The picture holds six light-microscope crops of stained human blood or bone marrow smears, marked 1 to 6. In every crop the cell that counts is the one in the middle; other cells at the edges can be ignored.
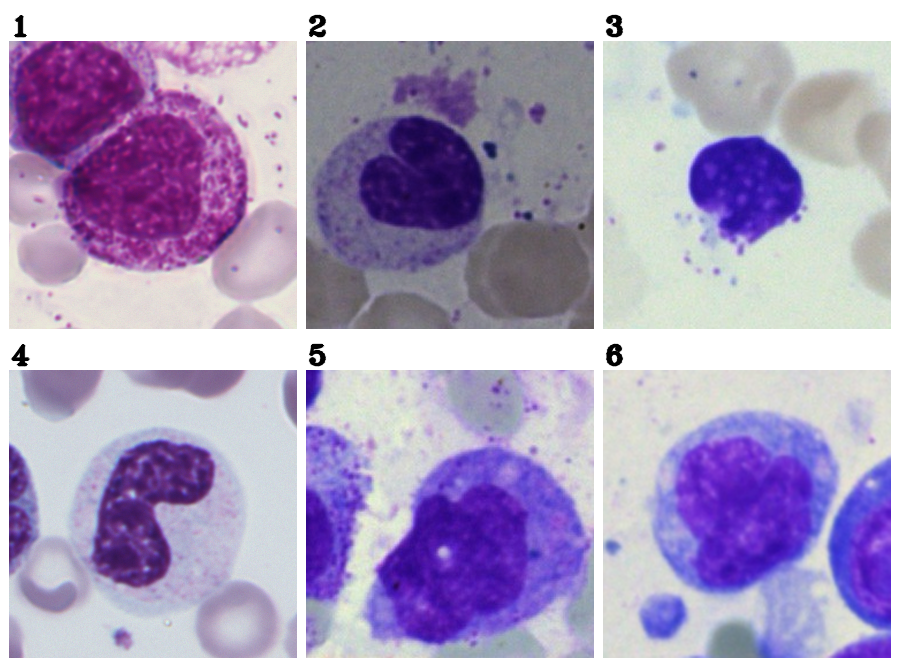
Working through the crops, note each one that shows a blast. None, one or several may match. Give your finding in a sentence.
All the crops lack a blast at their centre.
